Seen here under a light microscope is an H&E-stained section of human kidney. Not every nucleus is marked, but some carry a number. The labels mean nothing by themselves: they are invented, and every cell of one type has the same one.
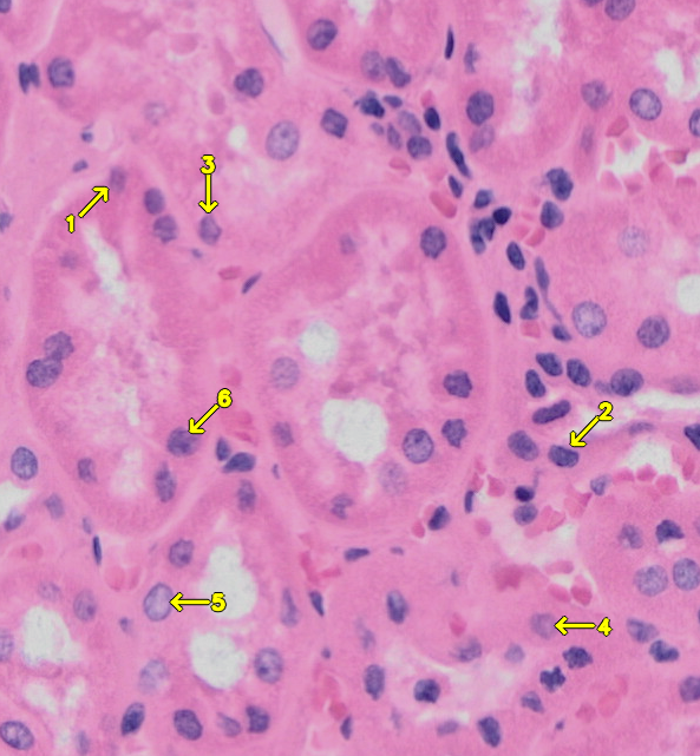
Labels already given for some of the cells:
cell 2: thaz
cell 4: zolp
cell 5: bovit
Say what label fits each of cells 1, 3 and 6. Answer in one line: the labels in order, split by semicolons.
bovit; bovit; bovit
